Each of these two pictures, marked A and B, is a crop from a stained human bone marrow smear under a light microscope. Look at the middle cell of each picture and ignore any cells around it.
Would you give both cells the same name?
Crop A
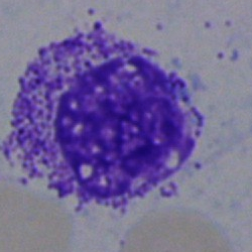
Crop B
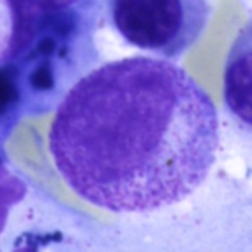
yes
